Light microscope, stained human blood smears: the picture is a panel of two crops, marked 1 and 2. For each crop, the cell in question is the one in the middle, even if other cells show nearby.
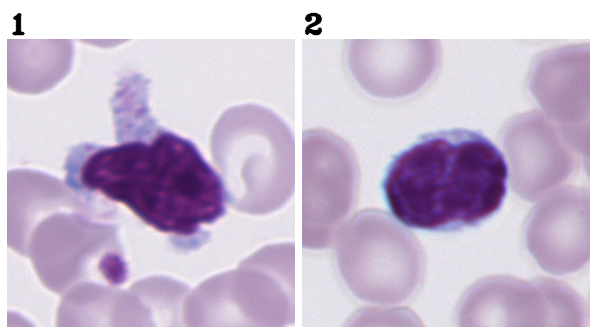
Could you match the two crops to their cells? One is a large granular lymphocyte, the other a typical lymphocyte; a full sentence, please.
Crop 1 is to be labelled a large granular lymphocyte, and crop 2 a typical lymphocyte.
